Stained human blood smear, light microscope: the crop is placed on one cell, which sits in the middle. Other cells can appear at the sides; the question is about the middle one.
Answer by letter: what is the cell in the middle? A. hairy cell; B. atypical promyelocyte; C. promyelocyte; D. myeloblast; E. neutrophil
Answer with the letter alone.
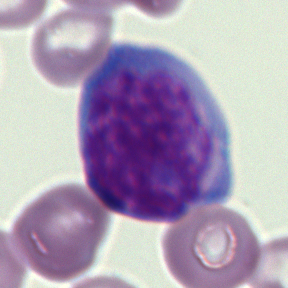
D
